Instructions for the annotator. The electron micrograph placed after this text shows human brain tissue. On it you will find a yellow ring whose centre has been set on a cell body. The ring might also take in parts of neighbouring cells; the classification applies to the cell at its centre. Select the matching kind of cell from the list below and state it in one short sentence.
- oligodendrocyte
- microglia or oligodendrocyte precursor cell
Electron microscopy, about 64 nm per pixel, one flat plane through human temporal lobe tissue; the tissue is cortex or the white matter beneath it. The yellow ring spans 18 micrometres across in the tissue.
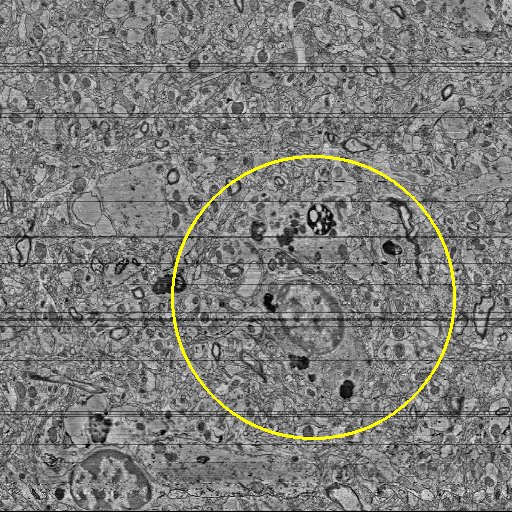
The ring is drawn on the cell body of an oligodendrocyte.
